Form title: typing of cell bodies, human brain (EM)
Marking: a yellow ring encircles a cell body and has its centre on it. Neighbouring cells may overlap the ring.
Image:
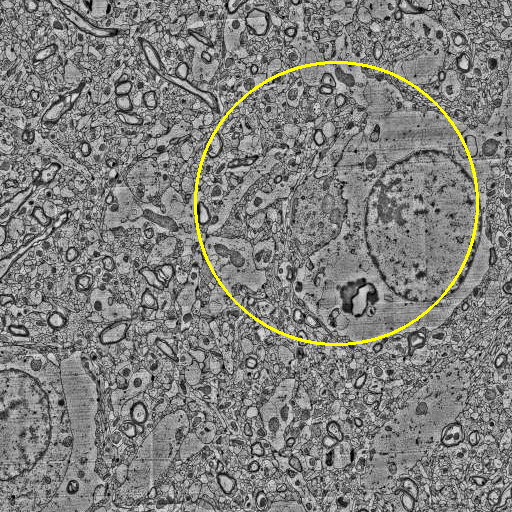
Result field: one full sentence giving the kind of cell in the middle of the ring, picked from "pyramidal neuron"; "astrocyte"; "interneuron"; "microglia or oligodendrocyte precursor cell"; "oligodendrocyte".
In the picture, the ring is centred on an oligodendrocyte, whose cell body it encircles.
